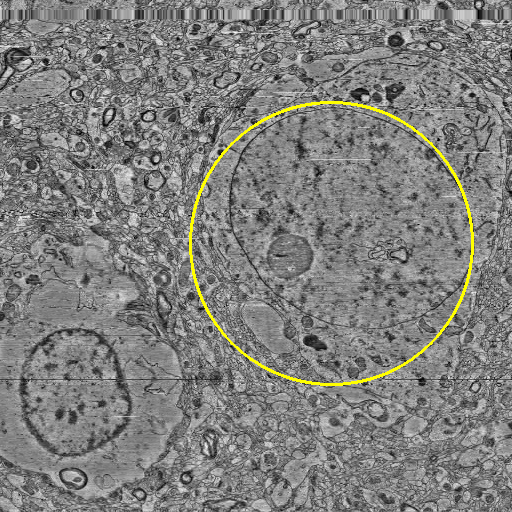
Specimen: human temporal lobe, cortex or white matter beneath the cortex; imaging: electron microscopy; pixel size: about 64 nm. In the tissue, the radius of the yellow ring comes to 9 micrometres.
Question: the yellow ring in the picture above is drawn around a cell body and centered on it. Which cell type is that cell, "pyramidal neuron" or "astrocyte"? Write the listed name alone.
pyramidal neuron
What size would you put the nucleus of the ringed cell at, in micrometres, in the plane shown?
The ringed cell's nucleus is about 17 micrometres long and 14 micrometres wide in this plane.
